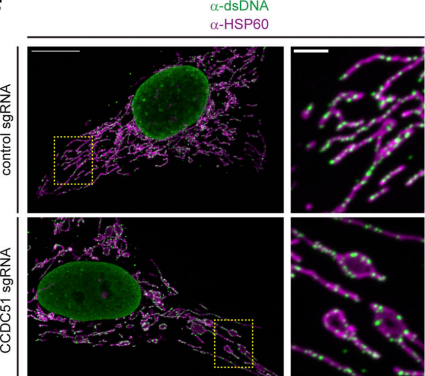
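Cultured cells each show a large oval nucleus stained green and a network of magenta mitochondria spreading through the cytoplasm, with small green dots strung along the mitochondria. In the enlarged regions the upper cell has mostly thin tubular mitochondria, whereas the lower cell has some swollen loops and rings among the tubules.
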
